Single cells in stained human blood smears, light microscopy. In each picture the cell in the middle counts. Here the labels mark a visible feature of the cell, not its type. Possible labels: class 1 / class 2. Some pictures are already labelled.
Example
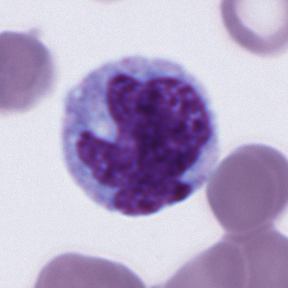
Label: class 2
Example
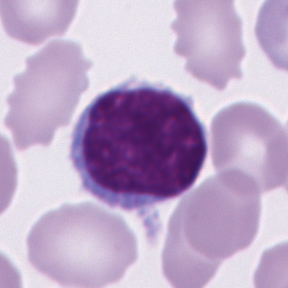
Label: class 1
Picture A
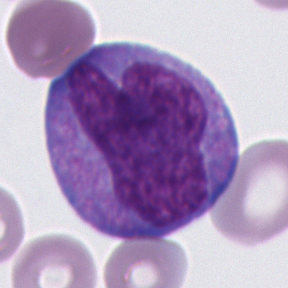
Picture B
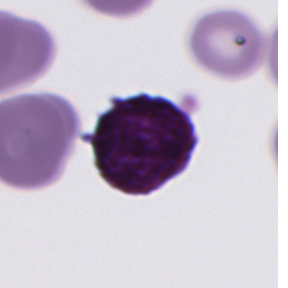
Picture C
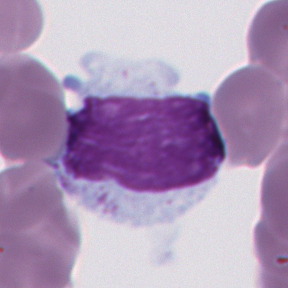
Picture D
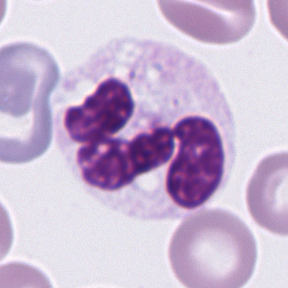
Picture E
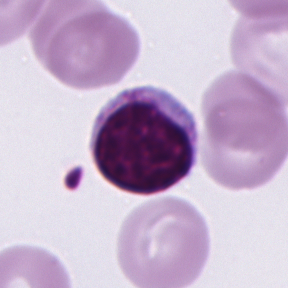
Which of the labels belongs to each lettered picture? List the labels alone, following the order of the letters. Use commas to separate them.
class 2, class 1, class 1, class 2, class 2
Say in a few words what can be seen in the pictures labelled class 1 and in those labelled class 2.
Seen in class 1: ragged outline or projections; seen in class 2: smooth outline.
